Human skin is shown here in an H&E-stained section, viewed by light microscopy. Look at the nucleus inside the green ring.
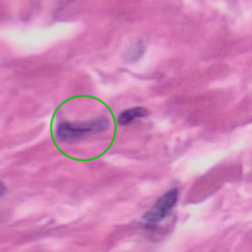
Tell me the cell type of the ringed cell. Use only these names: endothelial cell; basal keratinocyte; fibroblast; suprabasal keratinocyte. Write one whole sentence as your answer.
Histopathologically, the ringed cell is a fibroblast.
